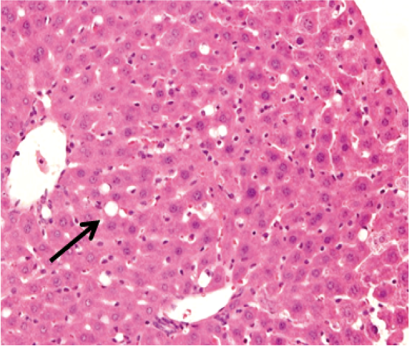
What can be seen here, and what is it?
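Liver tissue of pink polygonal hepatocytes with round purple nuclei arranged in cords around sinusoids, with two open vessel lumens. Scattered among the hepatocytes are small round clear empty spaces, one of them marked by a black arrow, which stand out against the pink cytoplasm. These clear holes are unlike the uniform cytoplasm of normal liver.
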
